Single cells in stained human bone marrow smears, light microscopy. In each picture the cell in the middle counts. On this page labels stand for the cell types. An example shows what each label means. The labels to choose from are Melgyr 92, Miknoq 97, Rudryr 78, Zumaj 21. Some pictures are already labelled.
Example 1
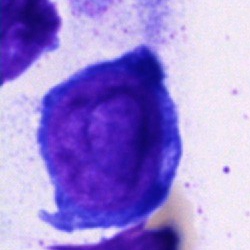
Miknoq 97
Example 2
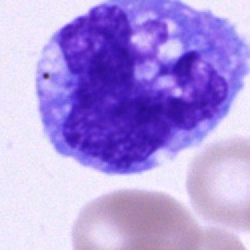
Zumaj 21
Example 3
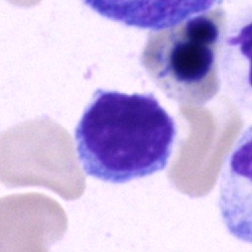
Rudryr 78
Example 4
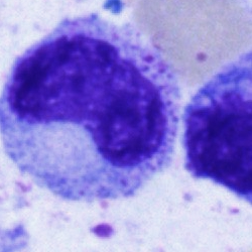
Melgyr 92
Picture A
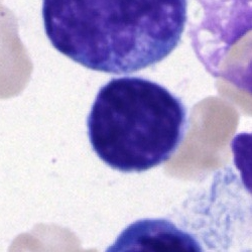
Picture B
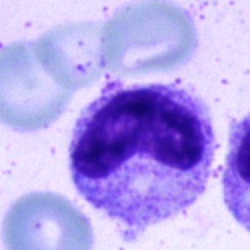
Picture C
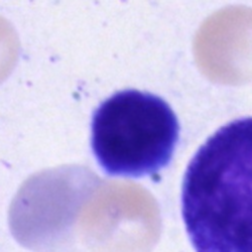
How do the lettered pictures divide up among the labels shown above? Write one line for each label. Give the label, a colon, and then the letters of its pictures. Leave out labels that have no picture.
Melgyr 92: B
Rudryr 78: A, C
